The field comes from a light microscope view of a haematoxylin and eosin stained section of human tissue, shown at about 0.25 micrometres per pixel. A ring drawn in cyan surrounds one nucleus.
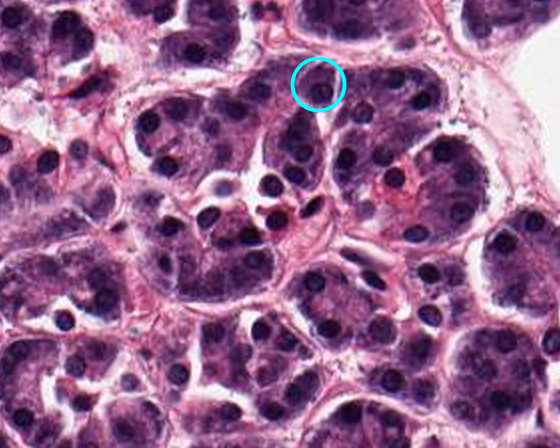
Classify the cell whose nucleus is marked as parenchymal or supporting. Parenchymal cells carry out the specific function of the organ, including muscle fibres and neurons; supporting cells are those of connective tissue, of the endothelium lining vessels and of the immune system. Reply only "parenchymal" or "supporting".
parenchymal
